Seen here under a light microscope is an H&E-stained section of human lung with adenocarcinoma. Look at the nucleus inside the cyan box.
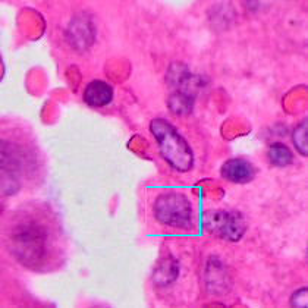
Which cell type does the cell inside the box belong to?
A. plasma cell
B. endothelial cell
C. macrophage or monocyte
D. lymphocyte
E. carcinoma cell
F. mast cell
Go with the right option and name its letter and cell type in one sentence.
In this section the cell inside the box is a macrophage or monocyte; option C is therefore correct.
